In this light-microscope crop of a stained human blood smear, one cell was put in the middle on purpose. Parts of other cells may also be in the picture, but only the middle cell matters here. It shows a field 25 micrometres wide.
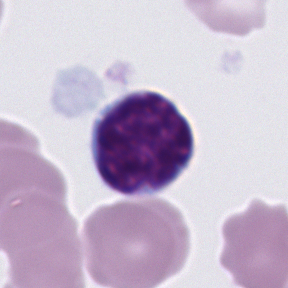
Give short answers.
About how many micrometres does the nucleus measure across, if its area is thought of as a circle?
8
